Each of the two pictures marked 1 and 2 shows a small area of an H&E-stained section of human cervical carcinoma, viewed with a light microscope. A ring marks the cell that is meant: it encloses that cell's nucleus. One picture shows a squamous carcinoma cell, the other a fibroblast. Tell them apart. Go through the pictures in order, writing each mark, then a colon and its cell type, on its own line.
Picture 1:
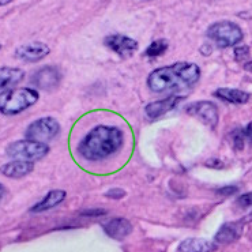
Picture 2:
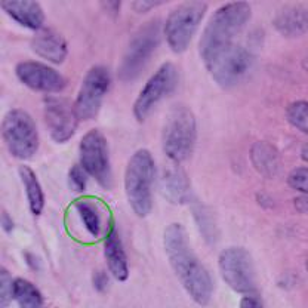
1: squamous carcinoma cell
2: fibroblast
